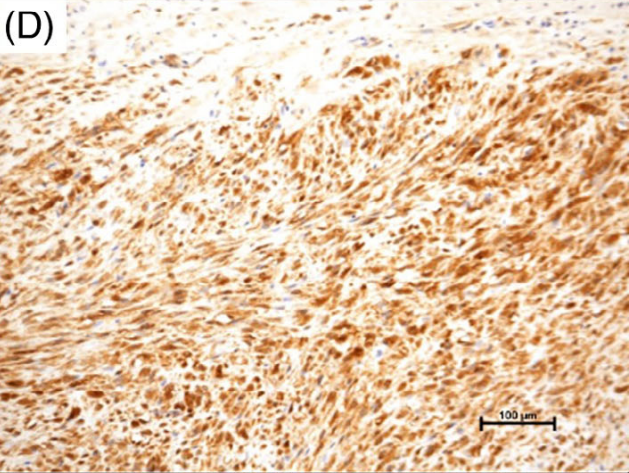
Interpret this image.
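Sheets and sweeping fascicles of spindle-shaped tumor cells fill the field. Most of the cells show strong brown staining of their nuclei and cytoplasm, while a looser zone at the top holds fewer stained cells with blue nuclei.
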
